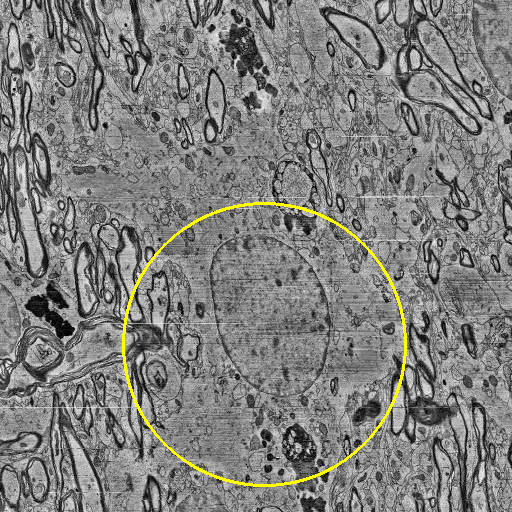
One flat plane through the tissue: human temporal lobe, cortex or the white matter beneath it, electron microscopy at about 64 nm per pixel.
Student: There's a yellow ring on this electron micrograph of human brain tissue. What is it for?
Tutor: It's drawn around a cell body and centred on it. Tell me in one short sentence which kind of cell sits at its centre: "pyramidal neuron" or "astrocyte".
The cell at the centre of the ring is an astrocyte.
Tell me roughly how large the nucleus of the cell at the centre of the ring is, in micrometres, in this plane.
About 11 by 7 micrometres in this plane; clearly longer than it is wide.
